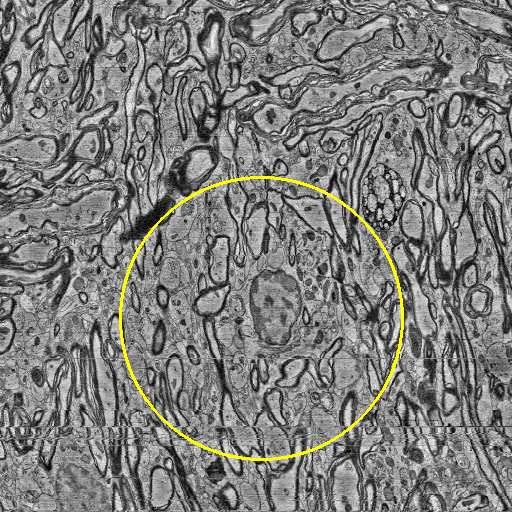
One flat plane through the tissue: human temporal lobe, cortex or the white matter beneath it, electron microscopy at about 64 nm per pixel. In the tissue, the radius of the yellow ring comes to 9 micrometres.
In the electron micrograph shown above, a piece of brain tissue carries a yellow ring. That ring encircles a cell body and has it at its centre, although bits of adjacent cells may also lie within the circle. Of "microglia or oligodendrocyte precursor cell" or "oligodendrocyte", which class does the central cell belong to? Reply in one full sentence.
The cell body at the centre of the yellow ring belongs to a microglial cell or oligodendrocyte precursor cell.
